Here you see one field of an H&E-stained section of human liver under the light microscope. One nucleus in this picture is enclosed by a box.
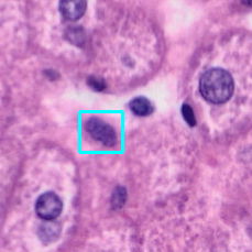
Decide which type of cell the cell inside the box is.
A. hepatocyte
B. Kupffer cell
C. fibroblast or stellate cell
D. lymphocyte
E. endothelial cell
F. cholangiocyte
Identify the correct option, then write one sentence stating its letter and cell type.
Option B stands as correct, with the cell inside the box being a Kupffer cell.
